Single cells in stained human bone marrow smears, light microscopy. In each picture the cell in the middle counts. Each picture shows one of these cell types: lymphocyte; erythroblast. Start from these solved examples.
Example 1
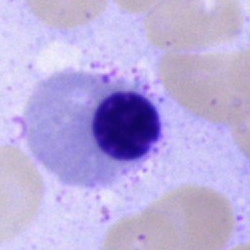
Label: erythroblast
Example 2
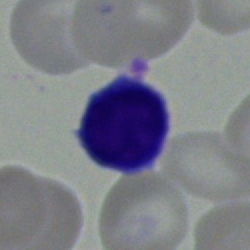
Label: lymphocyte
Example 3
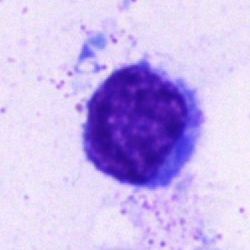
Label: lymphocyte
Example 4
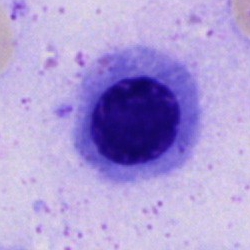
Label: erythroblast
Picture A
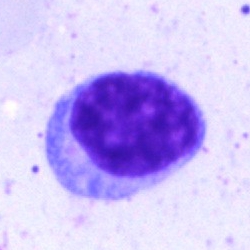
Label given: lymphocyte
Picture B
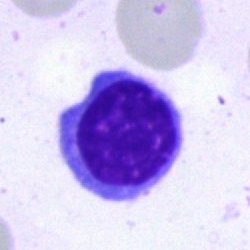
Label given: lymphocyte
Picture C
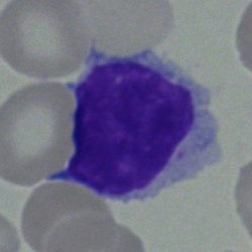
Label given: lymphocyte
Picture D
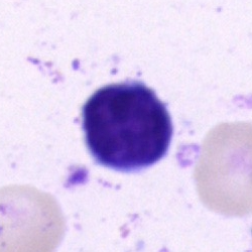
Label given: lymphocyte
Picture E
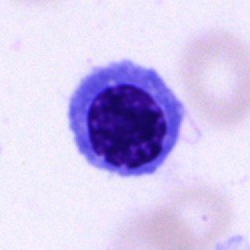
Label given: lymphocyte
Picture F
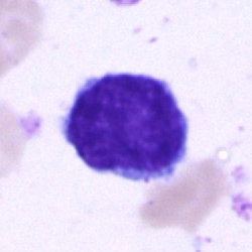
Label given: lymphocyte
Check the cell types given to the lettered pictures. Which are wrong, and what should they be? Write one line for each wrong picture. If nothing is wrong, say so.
Wrong: E (lymphocyte); correct: erythroblast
